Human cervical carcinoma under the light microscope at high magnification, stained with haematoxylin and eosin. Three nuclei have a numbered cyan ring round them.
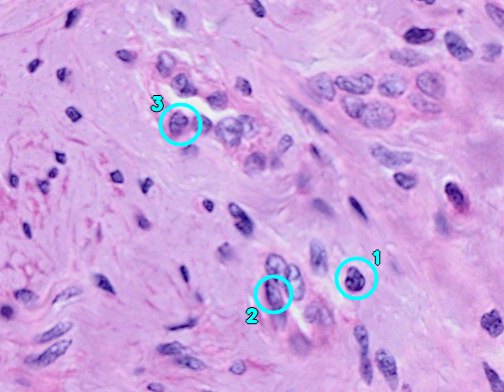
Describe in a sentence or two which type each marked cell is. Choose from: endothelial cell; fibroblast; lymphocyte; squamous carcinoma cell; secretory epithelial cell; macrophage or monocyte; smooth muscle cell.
Cell 1 is a lymphocyte, cell 2 is an endothelial cell and cell 3 is an endothelial cell.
